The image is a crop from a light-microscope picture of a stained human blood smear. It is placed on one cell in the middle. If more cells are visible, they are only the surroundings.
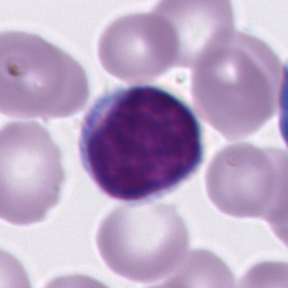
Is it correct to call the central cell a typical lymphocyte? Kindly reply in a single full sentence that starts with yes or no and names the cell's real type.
Yes, the cell here in the middle is a typical lymphocyte.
